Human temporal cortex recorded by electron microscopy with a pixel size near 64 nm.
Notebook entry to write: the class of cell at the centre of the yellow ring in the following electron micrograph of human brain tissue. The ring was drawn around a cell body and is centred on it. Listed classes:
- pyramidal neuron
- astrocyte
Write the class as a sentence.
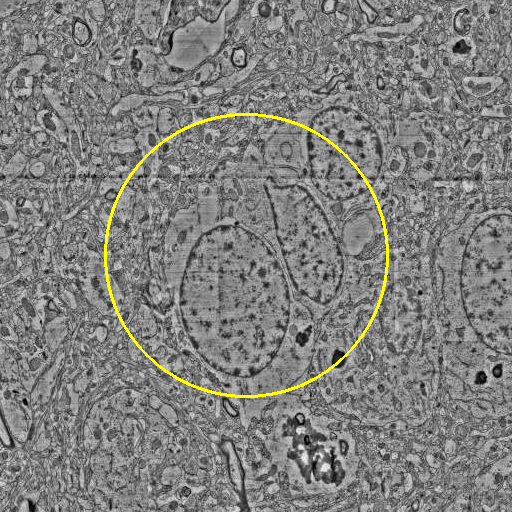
The yellow ring sits on an astrocyte.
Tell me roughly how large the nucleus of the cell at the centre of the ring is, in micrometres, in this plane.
About 10 by 7 micrometers for the nucleus, in this plane.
